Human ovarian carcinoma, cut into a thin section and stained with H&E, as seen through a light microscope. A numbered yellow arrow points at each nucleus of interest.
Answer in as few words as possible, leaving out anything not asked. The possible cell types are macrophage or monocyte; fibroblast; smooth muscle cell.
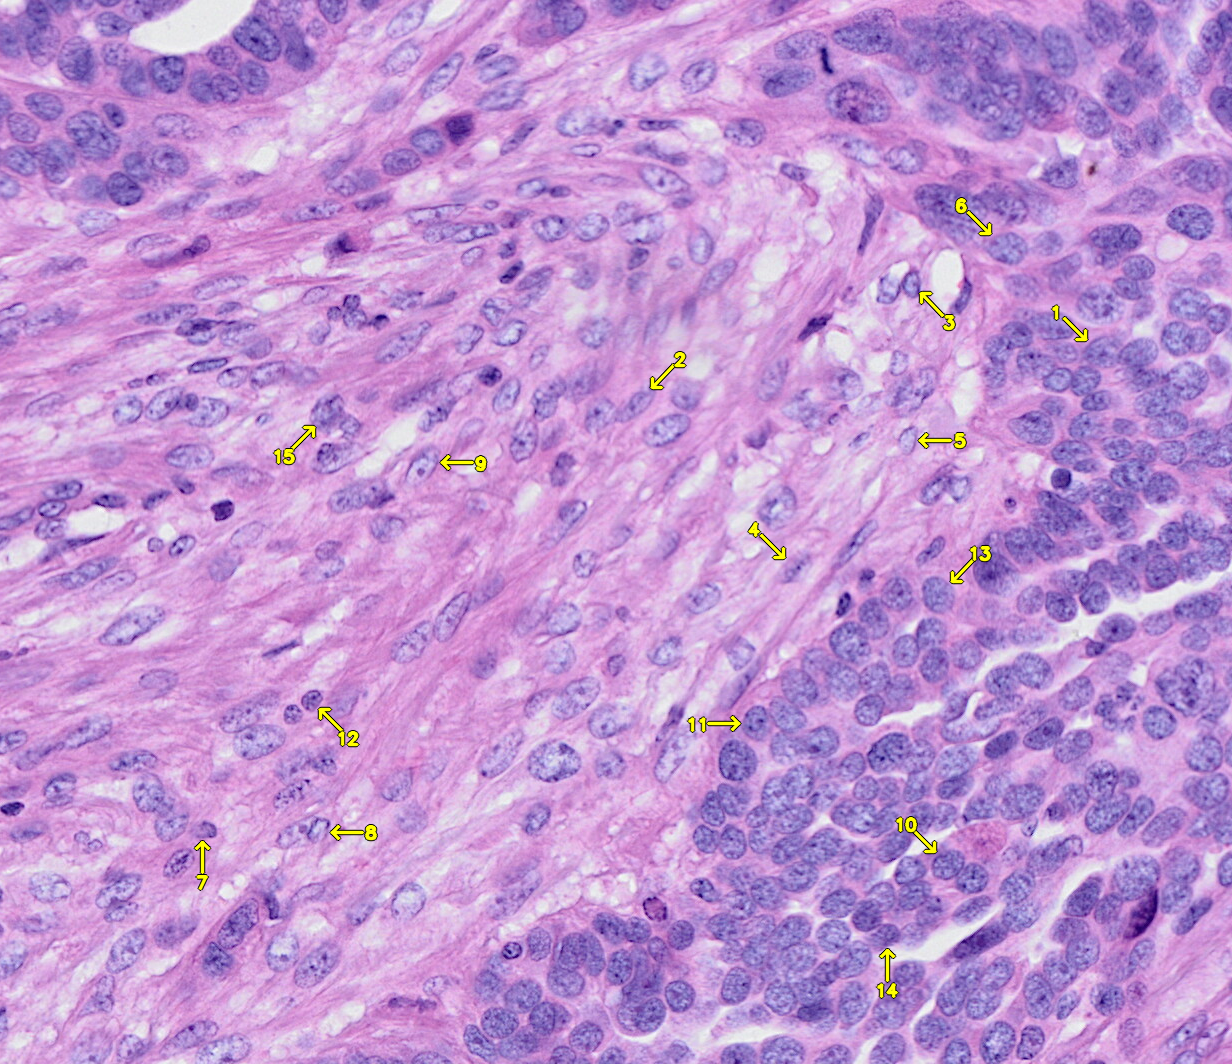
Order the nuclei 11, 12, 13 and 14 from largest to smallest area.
13, 11, 14, 12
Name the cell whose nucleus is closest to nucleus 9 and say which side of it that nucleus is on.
a macrophage or monocyte above nucleus 9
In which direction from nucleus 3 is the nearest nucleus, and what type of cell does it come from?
a fibroblast to the left of nucleus 3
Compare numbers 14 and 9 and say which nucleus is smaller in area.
14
